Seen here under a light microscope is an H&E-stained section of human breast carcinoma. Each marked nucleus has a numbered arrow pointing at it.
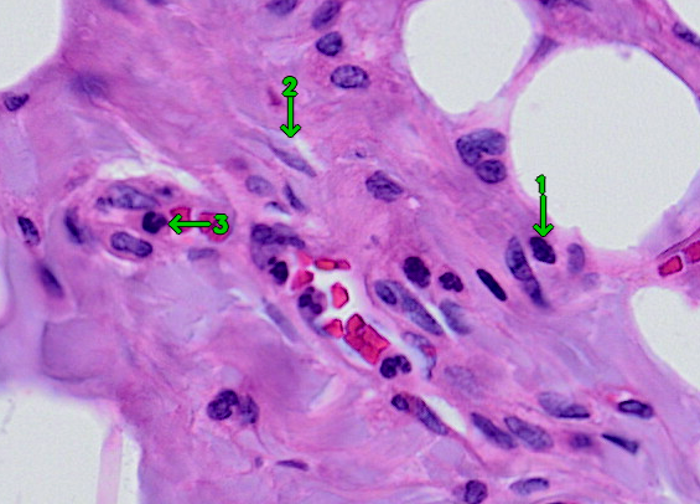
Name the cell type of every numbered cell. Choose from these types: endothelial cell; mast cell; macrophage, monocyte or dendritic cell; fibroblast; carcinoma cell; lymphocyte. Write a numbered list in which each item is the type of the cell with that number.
1. lymphocyte
2. fibroblast
3. endothelial cell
